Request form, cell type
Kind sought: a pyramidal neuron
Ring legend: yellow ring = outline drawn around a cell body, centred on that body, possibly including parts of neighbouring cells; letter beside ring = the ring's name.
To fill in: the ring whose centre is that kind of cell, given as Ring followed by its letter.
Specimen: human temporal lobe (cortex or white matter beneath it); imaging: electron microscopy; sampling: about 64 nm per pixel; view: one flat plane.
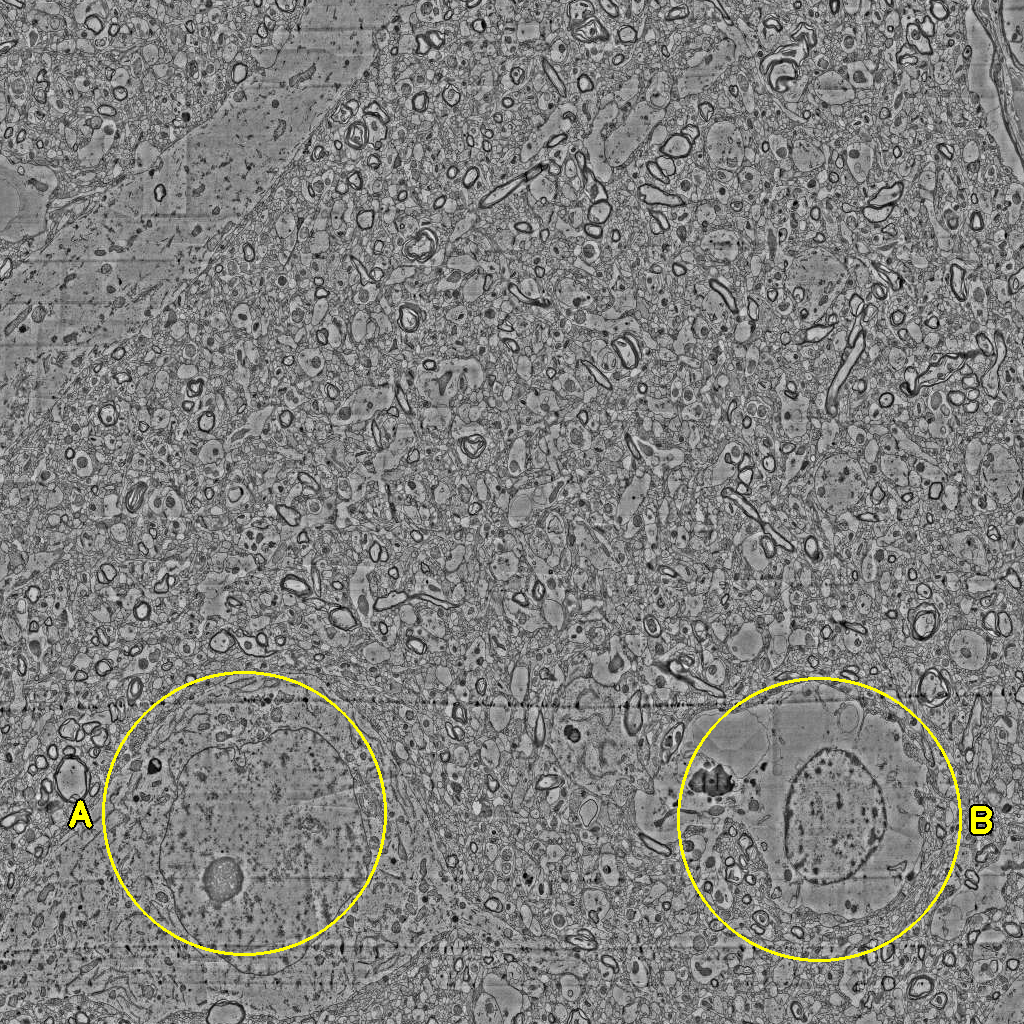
Ring A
